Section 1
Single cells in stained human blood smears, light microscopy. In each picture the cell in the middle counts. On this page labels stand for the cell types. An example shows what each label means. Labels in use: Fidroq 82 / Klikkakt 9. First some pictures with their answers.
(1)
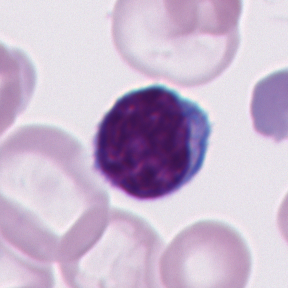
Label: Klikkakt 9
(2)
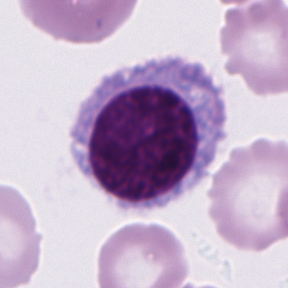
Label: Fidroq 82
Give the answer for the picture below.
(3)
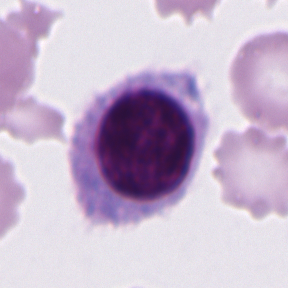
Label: Fidroq 82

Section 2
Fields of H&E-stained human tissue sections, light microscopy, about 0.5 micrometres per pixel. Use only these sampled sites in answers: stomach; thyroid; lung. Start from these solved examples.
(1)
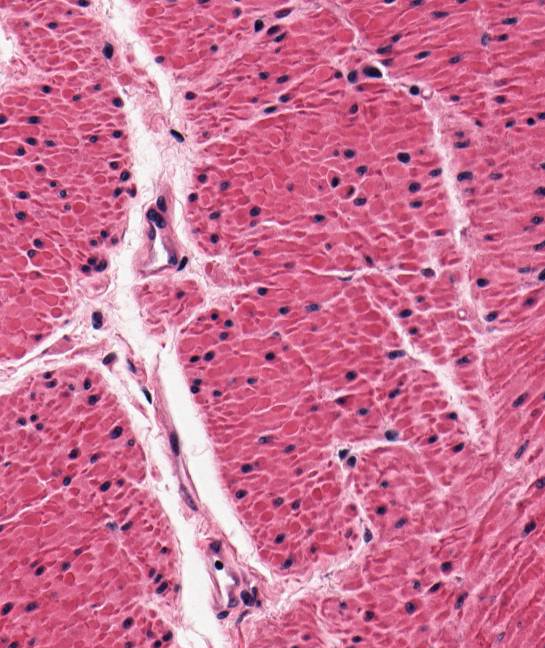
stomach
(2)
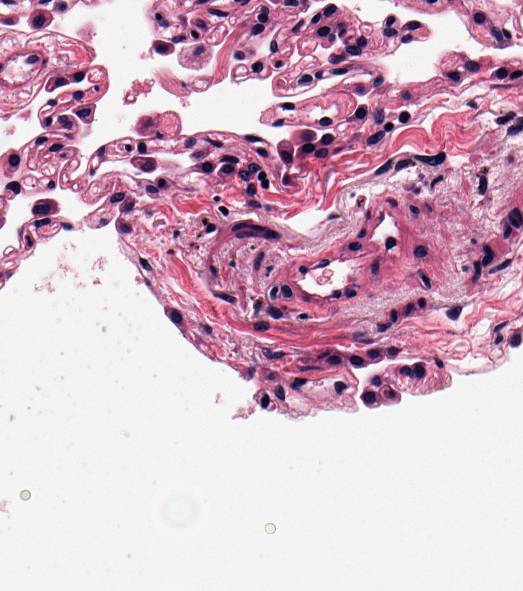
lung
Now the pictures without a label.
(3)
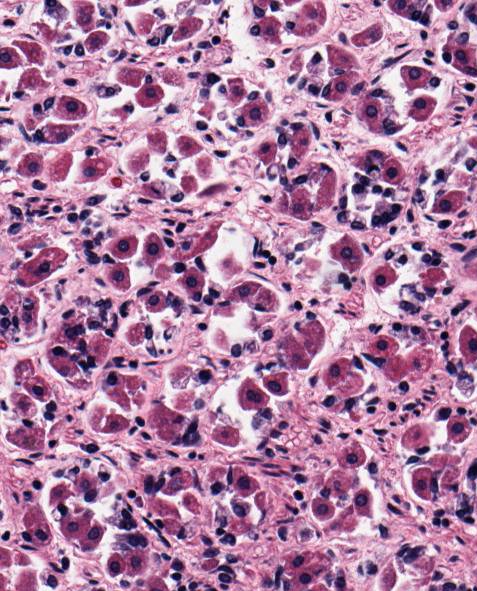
stomach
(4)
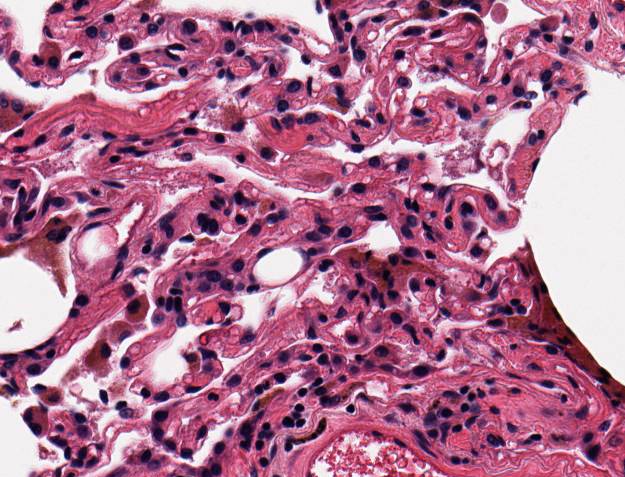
lung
